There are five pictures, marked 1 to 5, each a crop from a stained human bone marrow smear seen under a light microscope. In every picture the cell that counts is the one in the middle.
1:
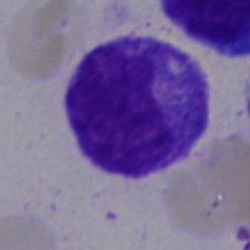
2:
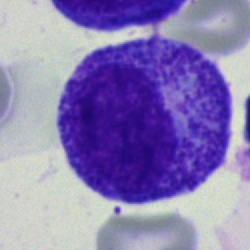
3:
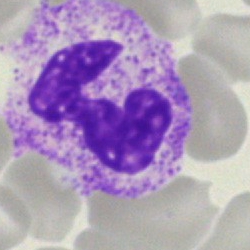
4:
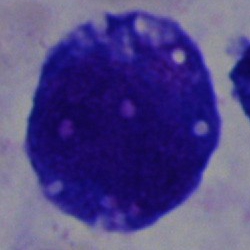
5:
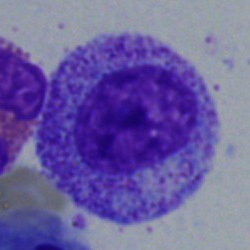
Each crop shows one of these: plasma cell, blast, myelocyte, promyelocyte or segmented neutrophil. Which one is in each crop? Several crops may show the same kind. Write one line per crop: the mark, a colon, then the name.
1: promyelocyte
2: promyelocyte
3: segmented neutrophil
4: blast
5: myelocyte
